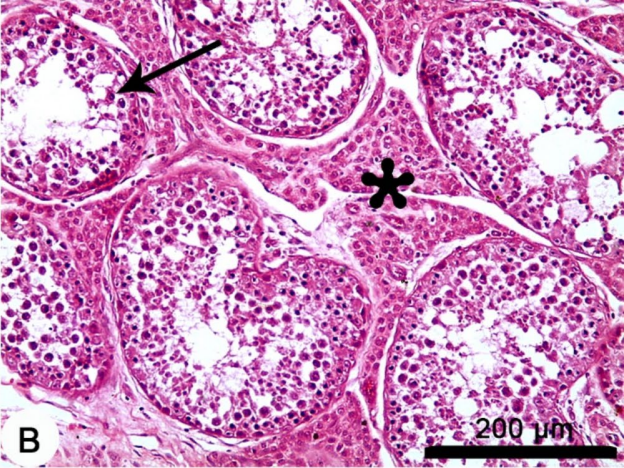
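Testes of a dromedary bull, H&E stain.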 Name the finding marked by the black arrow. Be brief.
degeneration of the epithelium lining of seminiferous tubules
